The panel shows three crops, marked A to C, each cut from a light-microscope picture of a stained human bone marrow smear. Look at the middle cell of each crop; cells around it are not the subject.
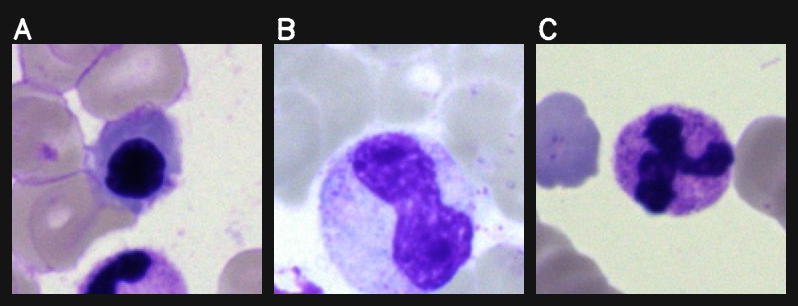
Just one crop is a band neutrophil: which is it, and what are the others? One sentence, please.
In this group, crop B shows a band neutrophil, while crop A is an erythroblast and crop C is a segmented neutrophil.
